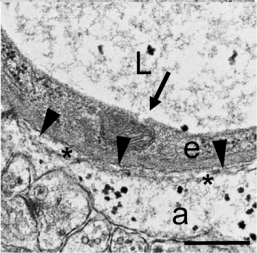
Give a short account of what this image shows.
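High-magnification transmission electron micrograph of a brain capillary wall. The lumen at the top contains fine, flocculent, granular material. Beneath it a relatively thick, electron-dense endothelial cell layer runs diagonally, with an arrow pointing to its luminal surface. Outside the wall, small pale gaps marked by asterisks separate it from the surrounding tissue. Below lies a pale astrocyte endfoot holding scattered small dark granules, and further membranous processes of neural tissue appear at the lower left. Arrowheads mark the outer border of the vessel wall.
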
